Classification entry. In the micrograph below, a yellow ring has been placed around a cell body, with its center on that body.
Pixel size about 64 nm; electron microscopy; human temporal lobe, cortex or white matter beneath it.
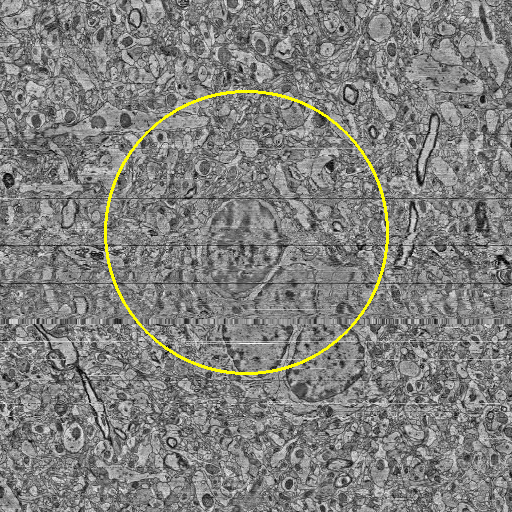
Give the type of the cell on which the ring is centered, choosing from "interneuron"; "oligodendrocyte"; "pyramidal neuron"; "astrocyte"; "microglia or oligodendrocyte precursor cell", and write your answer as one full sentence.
The cell body at the center of the yellow ring belongs to an oligodendrocyte.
